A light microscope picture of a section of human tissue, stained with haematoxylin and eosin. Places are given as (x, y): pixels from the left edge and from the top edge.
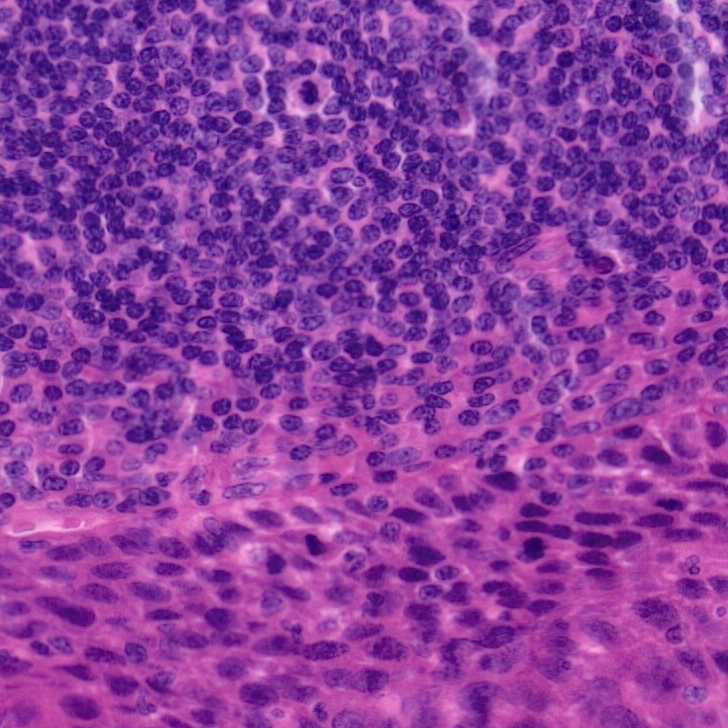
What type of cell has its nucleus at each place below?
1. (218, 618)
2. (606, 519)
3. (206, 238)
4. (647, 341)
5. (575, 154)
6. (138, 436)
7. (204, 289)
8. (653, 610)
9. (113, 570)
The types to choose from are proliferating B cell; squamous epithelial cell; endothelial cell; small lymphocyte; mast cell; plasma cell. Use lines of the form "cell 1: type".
cell 1: squamous epithelial cell
cell 2: squamous epithelial cell
cell 3: small lymphocyte
cell 4: plasma cell
cell 5: small lymphocyte
cell 6: plasma cell
cell 7: small lymphocyte
cell 8: squamous epithelial cell
cell 9: squamous epithelial cell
